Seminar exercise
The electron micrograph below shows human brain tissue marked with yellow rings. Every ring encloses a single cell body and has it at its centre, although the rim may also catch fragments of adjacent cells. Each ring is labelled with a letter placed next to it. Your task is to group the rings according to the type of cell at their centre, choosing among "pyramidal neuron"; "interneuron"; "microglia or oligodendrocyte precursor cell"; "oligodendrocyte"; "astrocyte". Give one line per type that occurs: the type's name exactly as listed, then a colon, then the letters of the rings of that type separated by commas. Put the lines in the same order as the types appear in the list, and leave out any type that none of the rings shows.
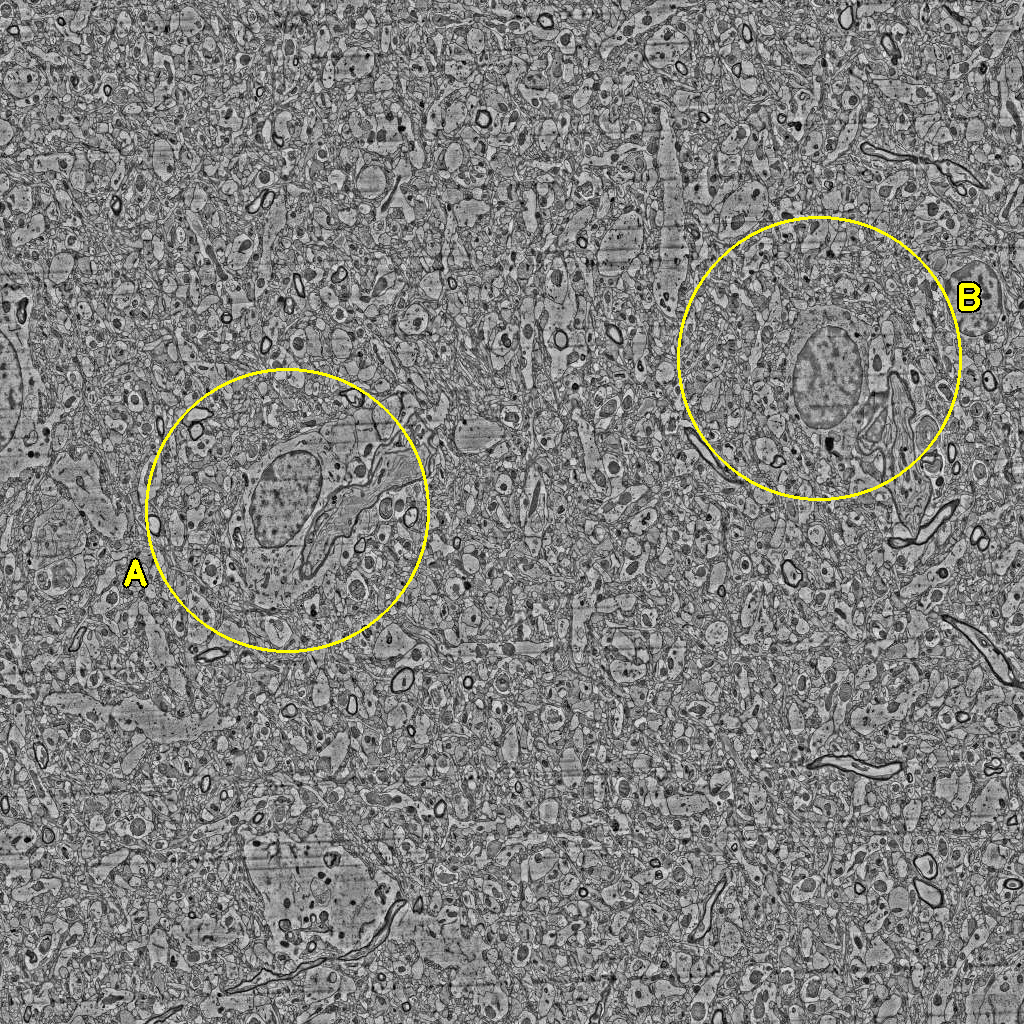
microglia or oligodendrocyte precursor cell: A
oligodendrocyte: B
